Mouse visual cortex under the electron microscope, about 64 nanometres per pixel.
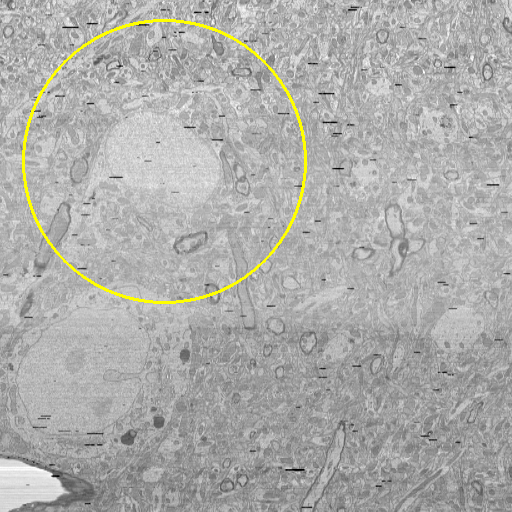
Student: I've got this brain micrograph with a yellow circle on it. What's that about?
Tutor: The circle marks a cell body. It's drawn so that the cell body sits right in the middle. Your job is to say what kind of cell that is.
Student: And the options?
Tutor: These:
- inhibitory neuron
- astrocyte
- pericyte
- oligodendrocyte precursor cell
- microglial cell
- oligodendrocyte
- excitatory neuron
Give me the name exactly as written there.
astrocyte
